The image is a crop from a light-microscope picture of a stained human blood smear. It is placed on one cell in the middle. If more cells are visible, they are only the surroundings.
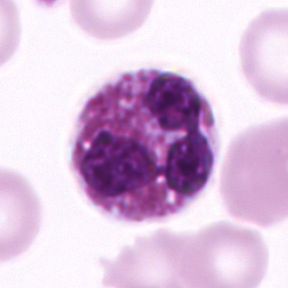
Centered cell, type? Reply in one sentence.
At the middle of the frame sits an eosinophil.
